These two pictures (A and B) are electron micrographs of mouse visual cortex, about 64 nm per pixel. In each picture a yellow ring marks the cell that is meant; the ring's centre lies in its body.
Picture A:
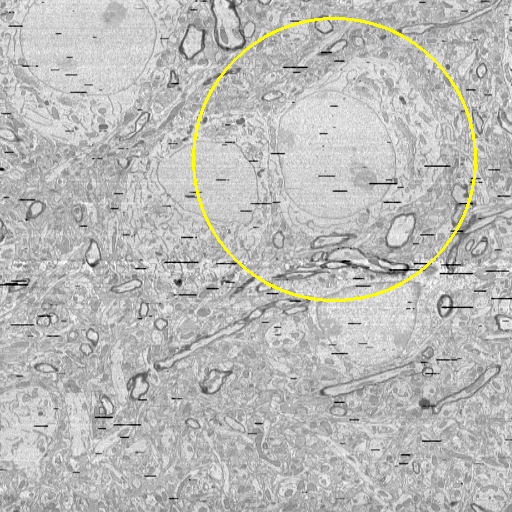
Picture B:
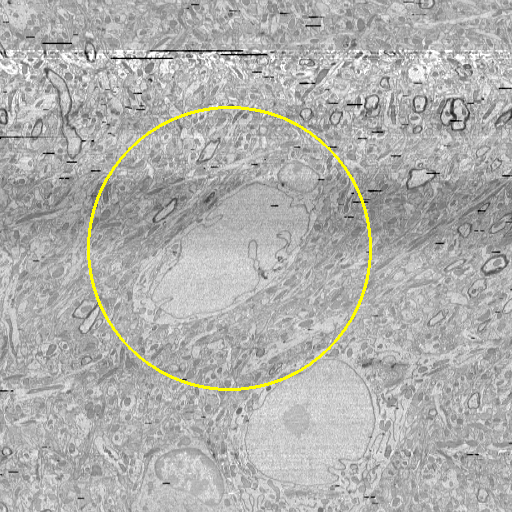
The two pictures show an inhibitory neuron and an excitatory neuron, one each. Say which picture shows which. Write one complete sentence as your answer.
Picture A is of an excitatory neuron, and picture B is of an inhibitory neuron.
